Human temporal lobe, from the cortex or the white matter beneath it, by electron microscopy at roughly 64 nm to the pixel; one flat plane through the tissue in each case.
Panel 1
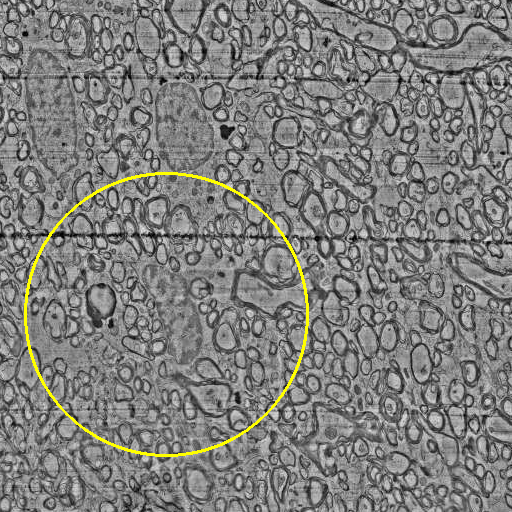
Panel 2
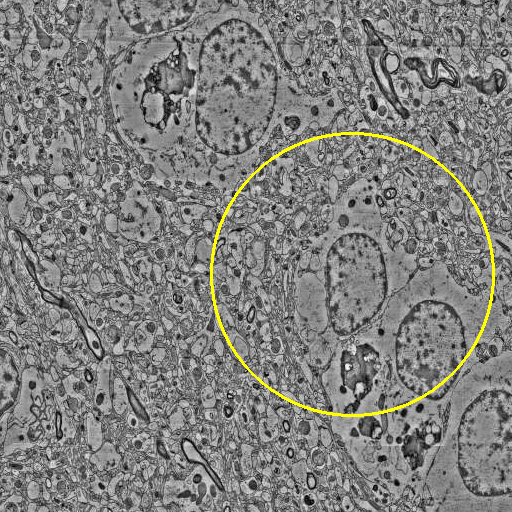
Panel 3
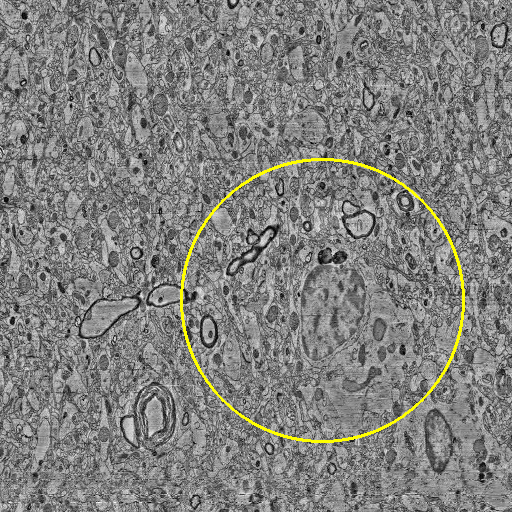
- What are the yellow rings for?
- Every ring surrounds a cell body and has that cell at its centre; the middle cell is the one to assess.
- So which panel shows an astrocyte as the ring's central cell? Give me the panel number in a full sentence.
The panel whose ring is centred on the cell in question is panel 2.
